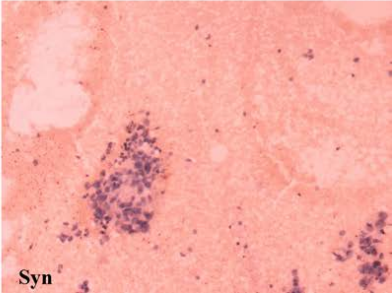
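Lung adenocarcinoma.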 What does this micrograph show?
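Small clusters of tumor cells lie scattered within a pale pink-orange background of amorphous, blood-like material. The cells have small, crowded, blue-purple nuclei with scant visible cytoplasm, and no brown colour is present in them.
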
